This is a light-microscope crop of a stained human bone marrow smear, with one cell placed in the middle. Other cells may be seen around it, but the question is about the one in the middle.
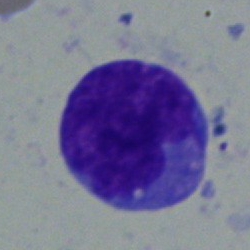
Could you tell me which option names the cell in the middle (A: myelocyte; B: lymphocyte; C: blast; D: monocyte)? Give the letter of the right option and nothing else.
C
